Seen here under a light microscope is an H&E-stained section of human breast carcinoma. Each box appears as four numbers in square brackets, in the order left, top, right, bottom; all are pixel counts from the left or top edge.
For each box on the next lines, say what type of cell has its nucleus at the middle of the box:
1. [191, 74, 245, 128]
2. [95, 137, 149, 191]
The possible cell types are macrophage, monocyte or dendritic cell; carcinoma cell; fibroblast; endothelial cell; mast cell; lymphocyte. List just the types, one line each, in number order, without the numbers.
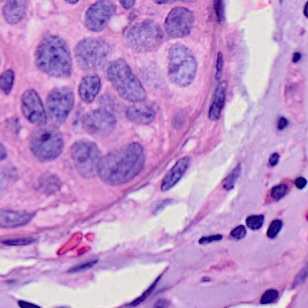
endothelial cell
carcinoma cell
